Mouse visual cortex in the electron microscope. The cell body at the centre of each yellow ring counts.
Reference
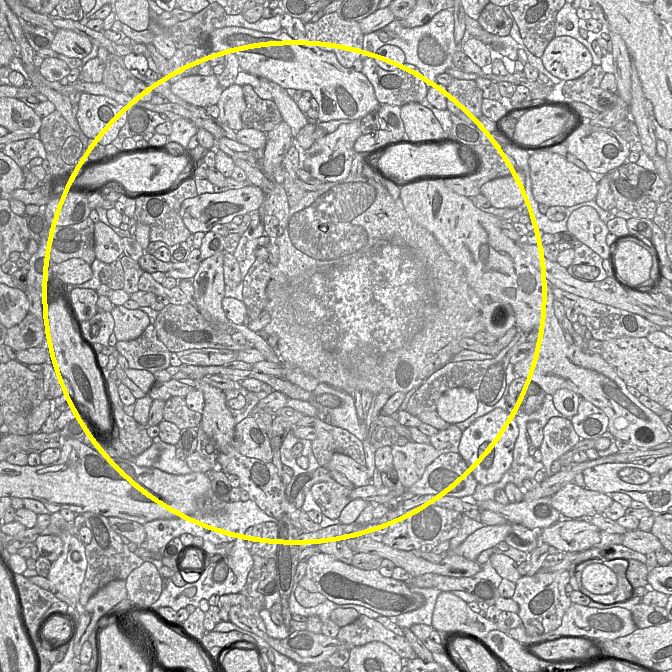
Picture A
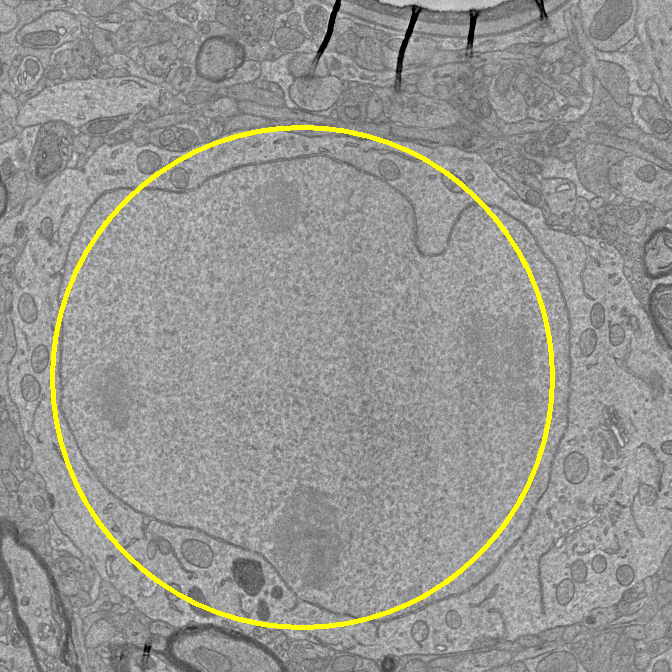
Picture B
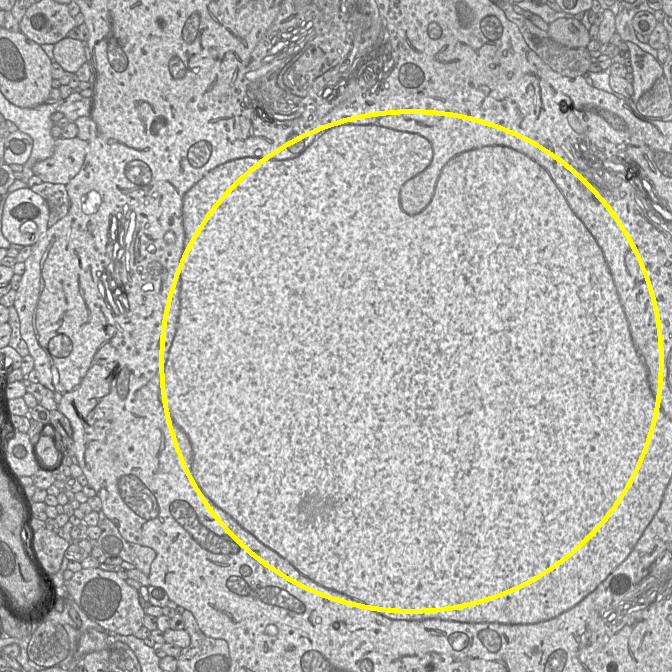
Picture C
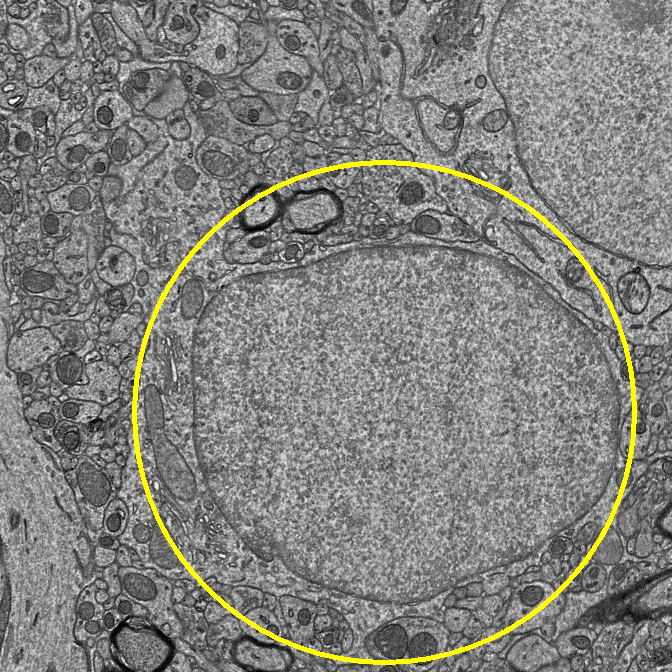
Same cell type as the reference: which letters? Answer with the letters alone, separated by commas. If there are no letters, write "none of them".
none of them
